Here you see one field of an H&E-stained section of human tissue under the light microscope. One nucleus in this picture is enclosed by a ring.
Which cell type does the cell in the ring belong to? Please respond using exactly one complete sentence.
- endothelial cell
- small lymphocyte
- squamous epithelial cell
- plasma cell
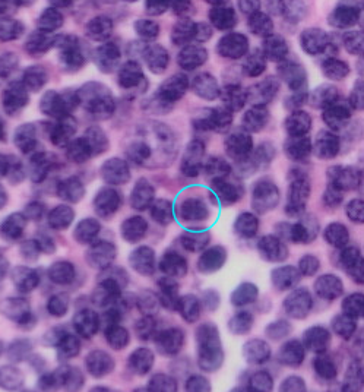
In the context of this tissue, the cell in the ring is a small lymphocyte.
